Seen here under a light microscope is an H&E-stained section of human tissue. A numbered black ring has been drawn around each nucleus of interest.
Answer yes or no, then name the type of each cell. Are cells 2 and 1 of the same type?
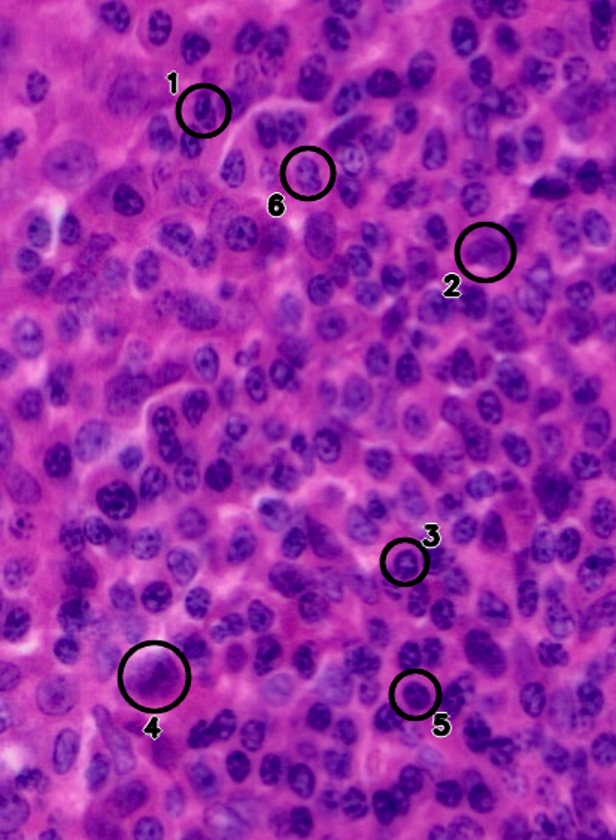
No, the identities are a squamous epithelial cell for cell 2 and a plasma cell for cell 1.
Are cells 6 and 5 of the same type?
Yes, cells 6 and 5 are both classed as plasma cells.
